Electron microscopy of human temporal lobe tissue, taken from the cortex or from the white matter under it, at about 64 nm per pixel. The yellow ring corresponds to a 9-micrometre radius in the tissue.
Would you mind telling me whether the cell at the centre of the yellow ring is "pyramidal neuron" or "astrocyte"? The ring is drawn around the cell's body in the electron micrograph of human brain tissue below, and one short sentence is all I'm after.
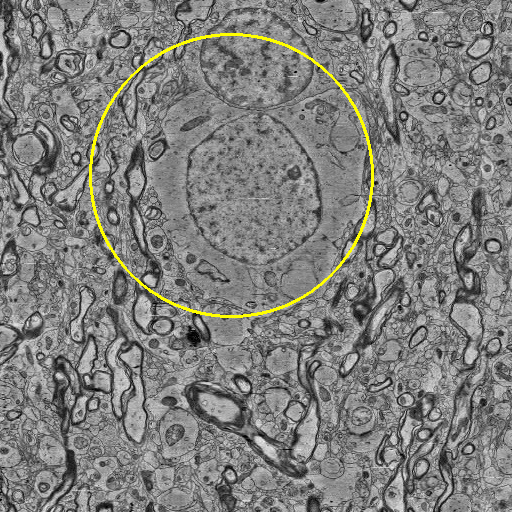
In the centre of the ring lies an astrocyte.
